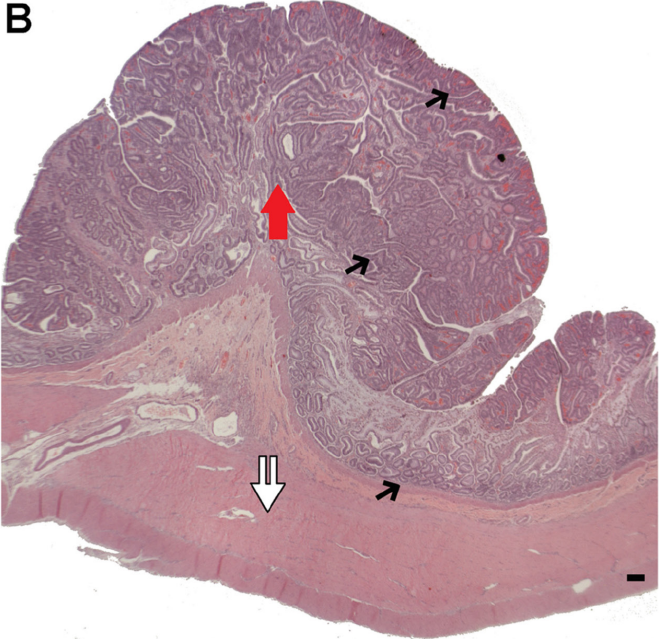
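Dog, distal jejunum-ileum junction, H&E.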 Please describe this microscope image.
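A low-power section of small intestinal wall carries a large dome-shaped mucosal mass of crowded, branching and elongated glands lined by tall purple-staining epithelium, with scant stroma between them. Beneath the mass lies a pink fibrous submucosa with vessels, over a thick, evenly pink smooth muscle layer. The glands stay above the underlying wall layers.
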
